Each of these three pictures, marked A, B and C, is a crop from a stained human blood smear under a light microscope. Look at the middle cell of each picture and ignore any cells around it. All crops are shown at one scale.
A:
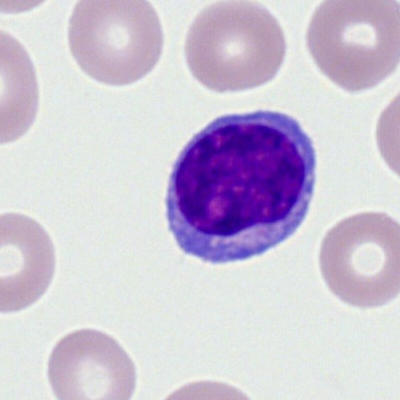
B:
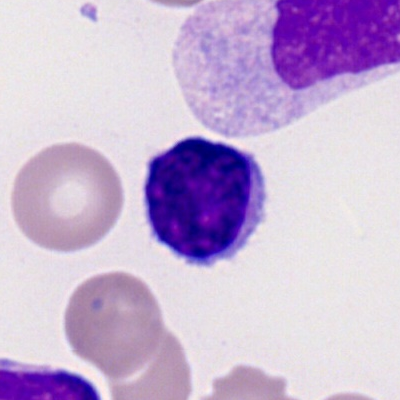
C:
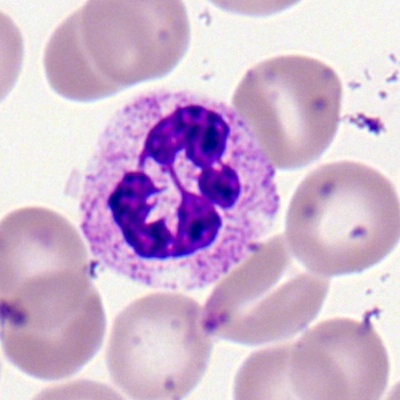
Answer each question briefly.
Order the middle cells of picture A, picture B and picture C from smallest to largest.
B, A, C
